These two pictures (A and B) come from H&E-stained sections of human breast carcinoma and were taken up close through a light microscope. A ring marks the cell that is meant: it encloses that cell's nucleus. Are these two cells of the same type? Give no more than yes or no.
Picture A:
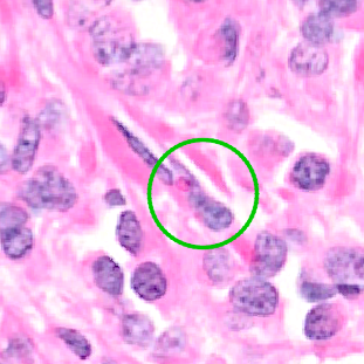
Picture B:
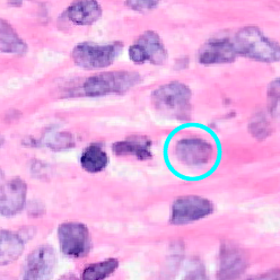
no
